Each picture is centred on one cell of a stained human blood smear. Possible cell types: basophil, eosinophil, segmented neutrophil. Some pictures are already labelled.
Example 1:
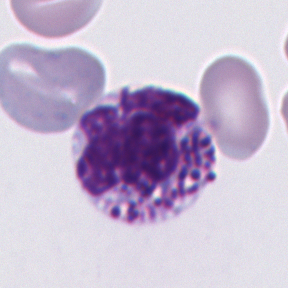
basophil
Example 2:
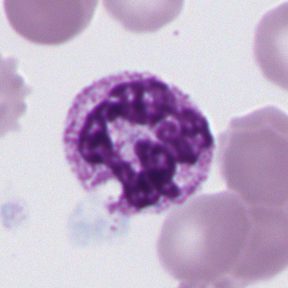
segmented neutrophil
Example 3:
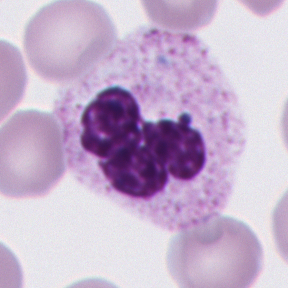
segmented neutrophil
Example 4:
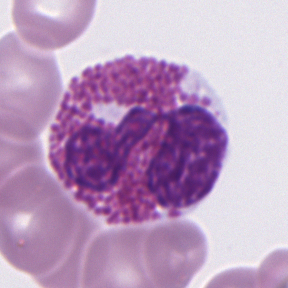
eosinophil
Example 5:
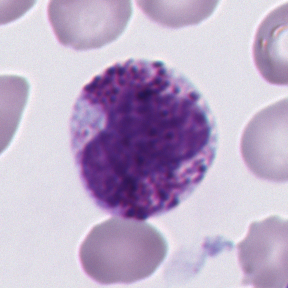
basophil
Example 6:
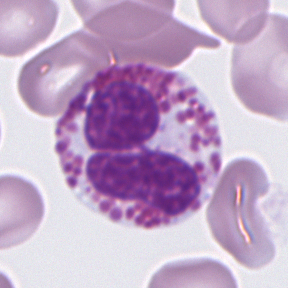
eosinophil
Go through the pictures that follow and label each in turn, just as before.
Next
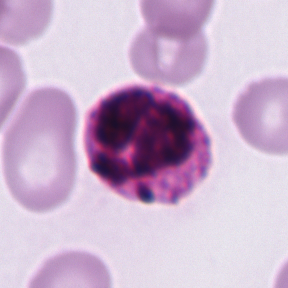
basophil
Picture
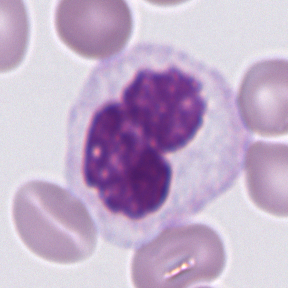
segmented neutrophil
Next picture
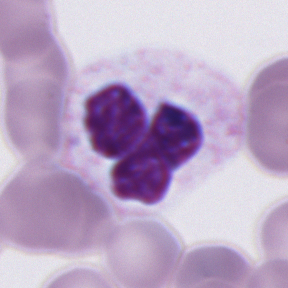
segmented neutrophil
